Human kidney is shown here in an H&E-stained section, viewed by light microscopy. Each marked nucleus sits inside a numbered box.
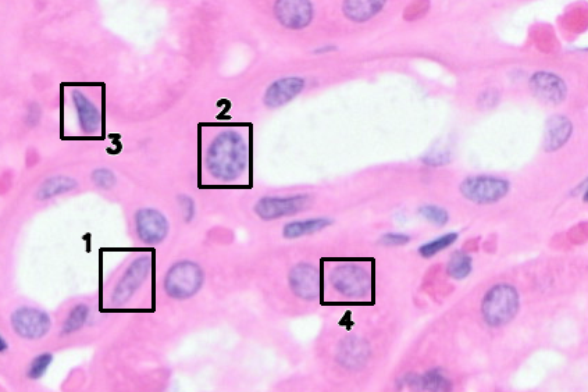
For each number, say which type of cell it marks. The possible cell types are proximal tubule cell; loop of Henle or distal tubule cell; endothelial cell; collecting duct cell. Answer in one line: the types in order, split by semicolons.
collecting duct cell; collecting duct cell; endothelial cell; proximal tubule cell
